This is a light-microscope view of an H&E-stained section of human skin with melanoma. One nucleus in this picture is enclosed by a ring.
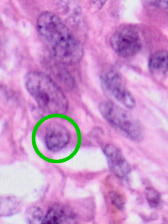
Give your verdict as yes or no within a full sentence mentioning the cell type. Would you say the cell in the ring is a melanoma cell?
Yes, regarding cell type, the cell in the ring is a melanoma cell.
